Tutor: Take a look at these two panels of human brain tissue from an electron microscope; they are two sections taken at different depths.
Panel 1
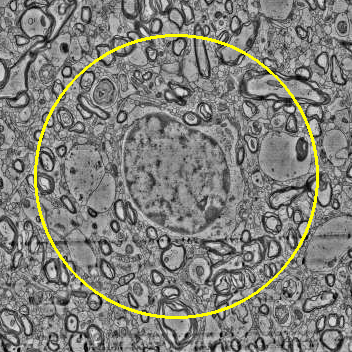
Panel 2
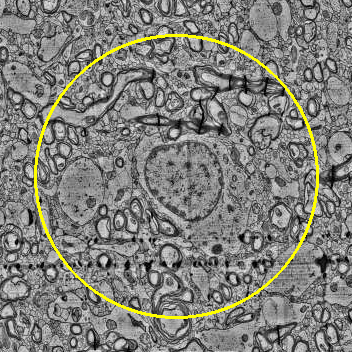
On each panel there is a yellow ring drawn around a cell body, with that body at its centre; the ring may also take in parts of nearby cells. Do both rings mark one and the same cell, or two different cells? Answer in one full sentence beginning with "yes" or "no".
Yes, both rings are placed on a single cell.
